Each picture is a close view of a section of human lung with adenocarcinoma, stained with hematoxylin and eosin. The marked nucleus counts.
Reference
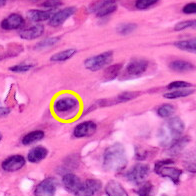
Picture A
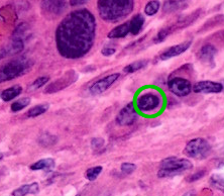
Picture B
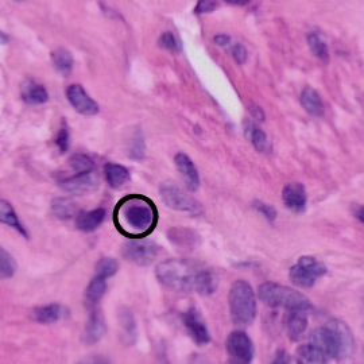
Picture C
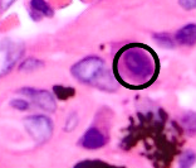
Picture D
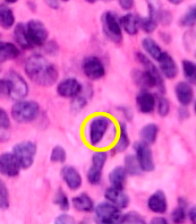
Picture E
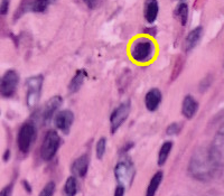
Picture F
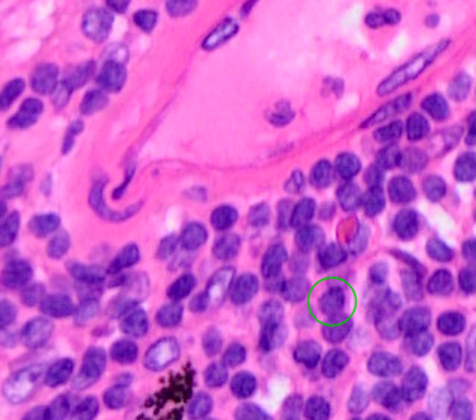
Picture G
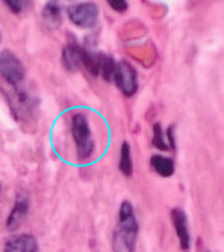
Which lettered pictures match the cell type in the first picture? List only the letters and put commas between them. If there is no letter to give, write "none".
A, B, C, E, G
